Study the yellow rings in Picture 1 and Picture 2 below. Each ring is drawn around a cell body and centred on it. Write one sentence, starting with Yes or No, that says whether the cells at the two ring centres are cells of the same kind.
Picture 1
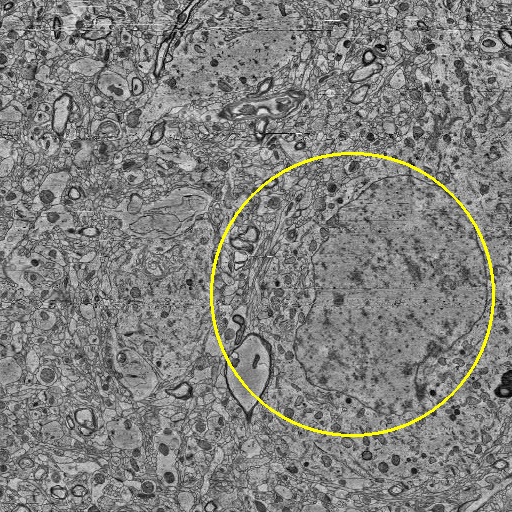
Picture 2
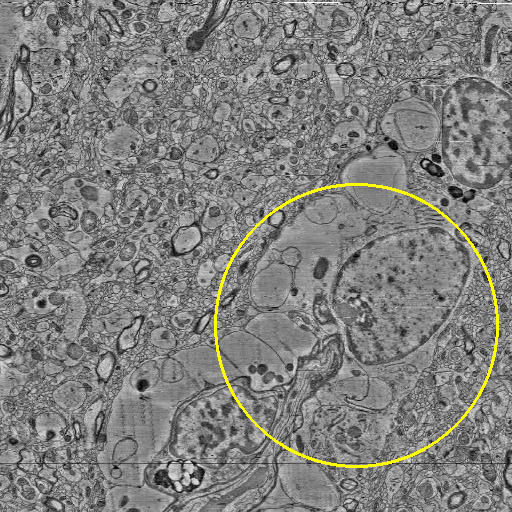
No, the cells at the ring centres are of two kinds.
